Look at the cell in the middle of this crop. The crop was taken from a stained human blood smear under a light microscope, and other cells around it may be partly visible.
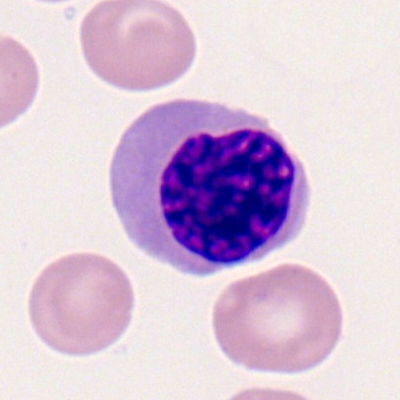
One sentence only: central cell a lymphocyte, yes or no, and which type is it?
No, the central cell is properly termed an erythroblast, not a lymphocyte.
